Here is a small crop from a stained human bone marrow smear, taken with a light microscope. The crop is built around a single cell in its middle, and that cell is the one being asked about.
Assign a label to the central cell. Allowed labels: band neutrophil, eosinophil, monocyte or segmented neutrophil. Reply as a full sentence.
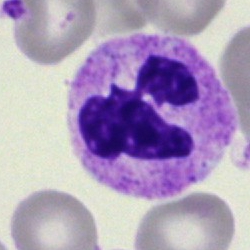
The target cell in the middle of the crop is a segmented neutrophil.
